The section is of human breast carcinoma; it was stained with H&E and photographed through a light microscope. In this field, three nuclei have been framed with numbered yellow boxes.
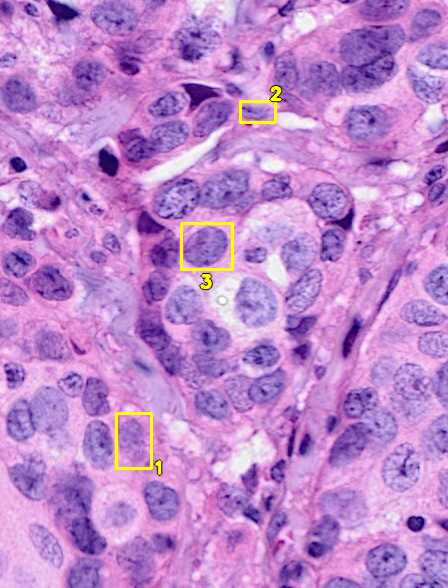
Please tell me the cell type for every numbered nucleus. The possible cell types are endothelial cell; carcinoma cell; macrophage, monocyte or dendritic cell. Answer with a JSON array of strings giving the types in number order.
["carcinoma cell", "endothelial cell", "carcinoma cell"]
